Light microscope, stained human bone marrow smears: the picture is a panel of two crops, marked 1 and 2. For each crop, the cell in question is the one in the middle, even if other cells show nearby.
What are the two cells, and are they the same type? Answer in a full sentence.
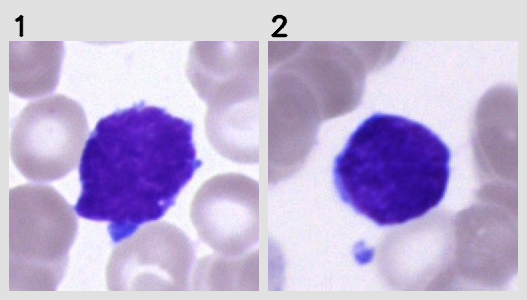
Yes, the central cells of both crops are lymphocytes.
